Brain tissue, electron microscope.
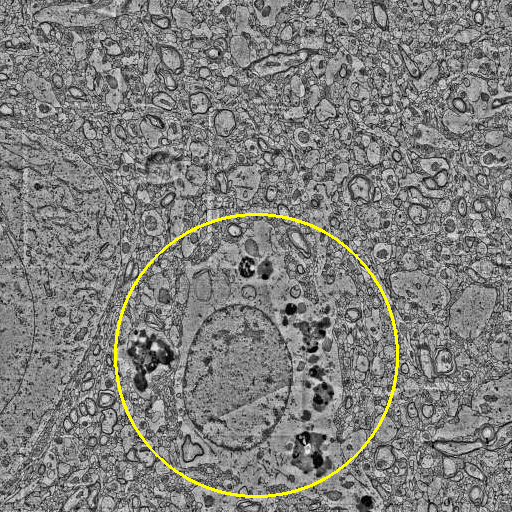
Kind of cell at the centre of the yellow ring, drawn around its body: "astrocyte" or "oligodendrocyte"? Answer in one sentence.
The ring's centre falls on an astrocyte.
